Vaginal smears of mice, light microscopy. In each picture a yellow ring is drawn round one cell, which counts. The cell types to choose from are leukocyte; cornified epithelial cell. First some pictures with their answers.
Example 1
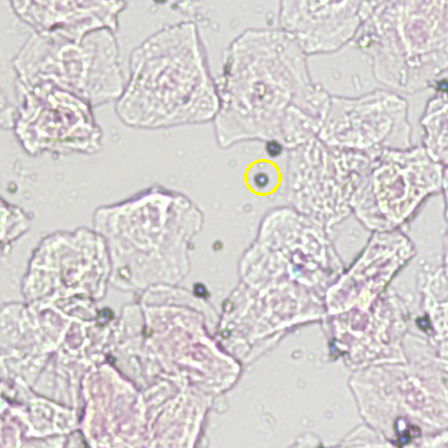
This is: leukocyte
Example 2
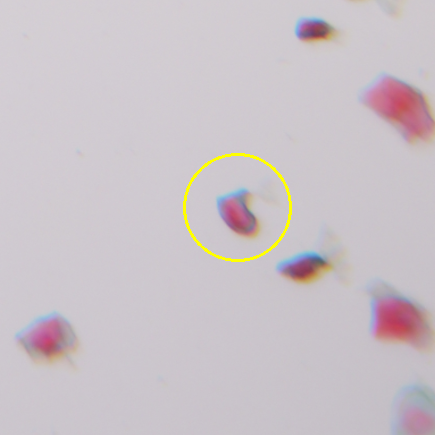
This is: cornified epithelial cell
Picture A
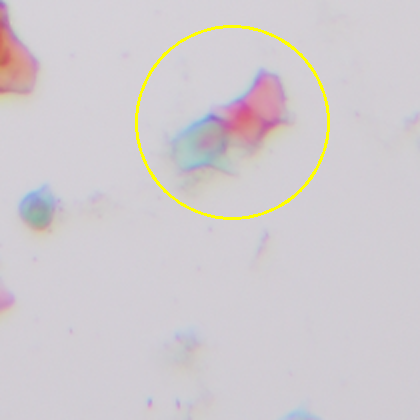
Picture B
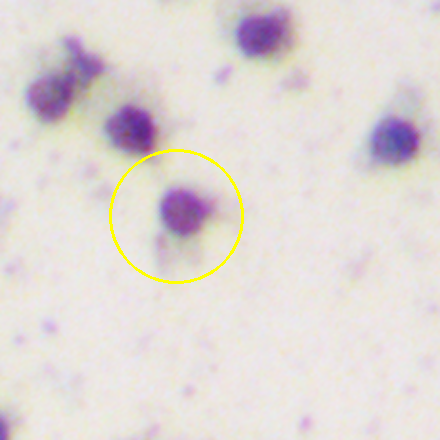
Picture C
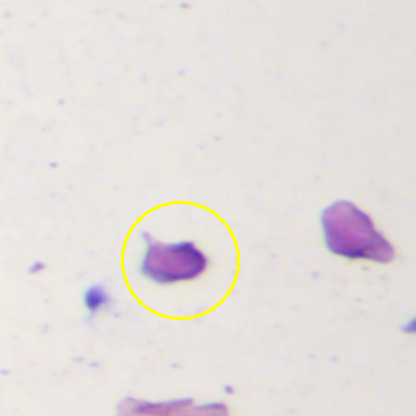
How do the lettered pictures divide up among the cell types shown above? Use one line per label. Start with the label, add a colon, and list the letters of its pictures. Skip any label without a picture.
leukocyte: B
cornified epithelial cell: A, C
